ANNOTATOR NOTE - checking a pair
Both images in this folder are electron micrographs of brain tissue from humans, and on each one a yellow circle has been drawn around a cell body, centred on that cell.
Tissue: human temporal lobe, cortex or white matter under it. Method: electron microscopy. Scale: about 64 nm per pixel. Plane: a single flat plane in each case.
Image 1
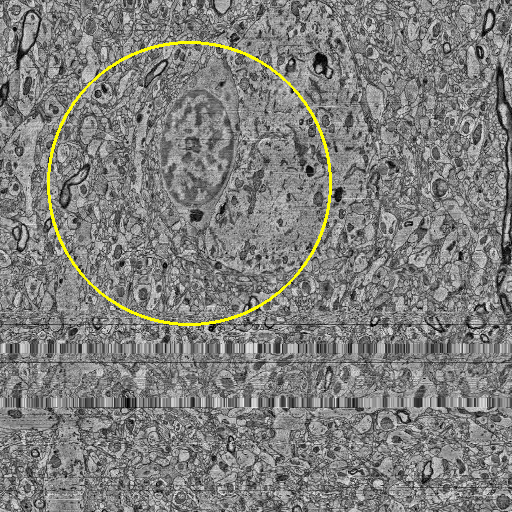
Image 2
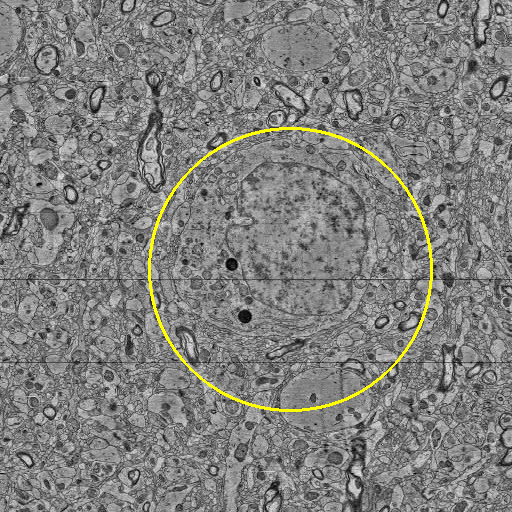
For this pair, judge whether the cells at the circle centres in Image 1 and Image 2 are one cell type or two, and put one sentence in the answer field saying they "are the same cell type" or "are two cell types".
For this pair, the cells at the circle centres in Images 1 and 2 are two cell types.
